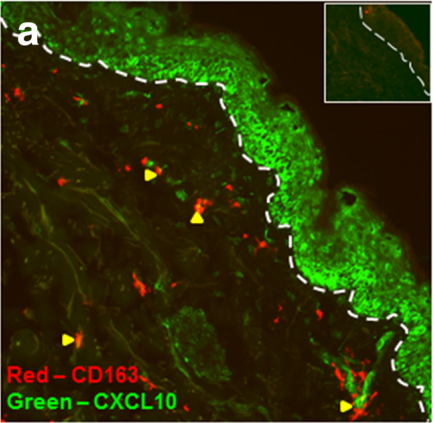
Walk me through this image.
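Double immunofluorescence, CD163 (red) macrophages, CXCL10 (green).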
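Skin is seen with a bright green, densely cellular epidermis running diagonally across the upper right, its lower border traced by a dashed line. Beneath it the dermis is dark and loosely textured, with scattered small irregular red cells, some with short processes. A few of these red cells, marked by arrowheads, show a yellowish tinge where green overlaps them.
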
